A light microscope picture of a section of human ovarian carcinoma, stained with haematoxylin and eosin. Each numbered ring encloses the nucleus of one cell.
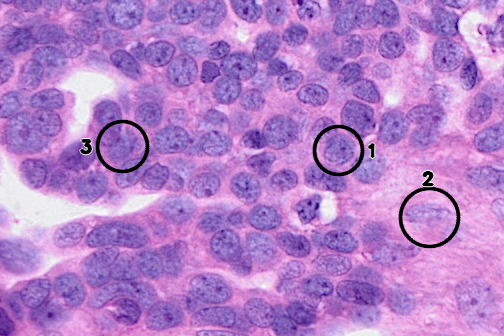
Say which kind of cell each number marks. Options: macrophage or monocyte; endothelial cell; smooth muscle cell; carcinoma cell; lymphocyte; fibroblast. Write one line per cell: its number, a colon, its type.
1: carcinoma cell
2: fibroblast
3: carcinoma cell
